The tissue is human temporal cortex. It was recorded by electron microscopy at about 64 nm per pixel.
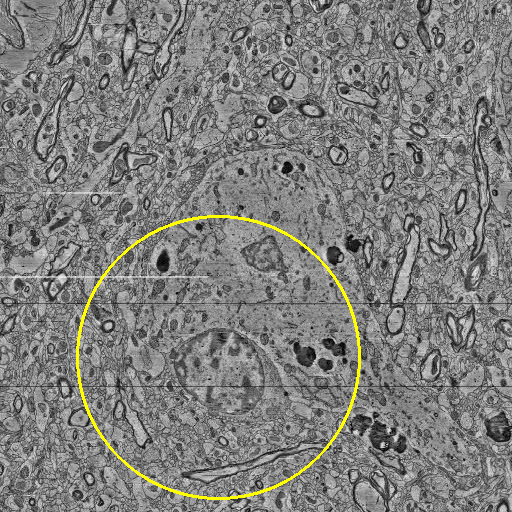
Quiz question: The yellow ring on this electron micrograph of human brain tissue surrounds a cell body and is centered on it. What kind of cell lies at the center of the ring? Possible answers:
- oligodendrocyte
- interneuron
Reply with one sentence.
The ring's center lies on an oligodendrocyte.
